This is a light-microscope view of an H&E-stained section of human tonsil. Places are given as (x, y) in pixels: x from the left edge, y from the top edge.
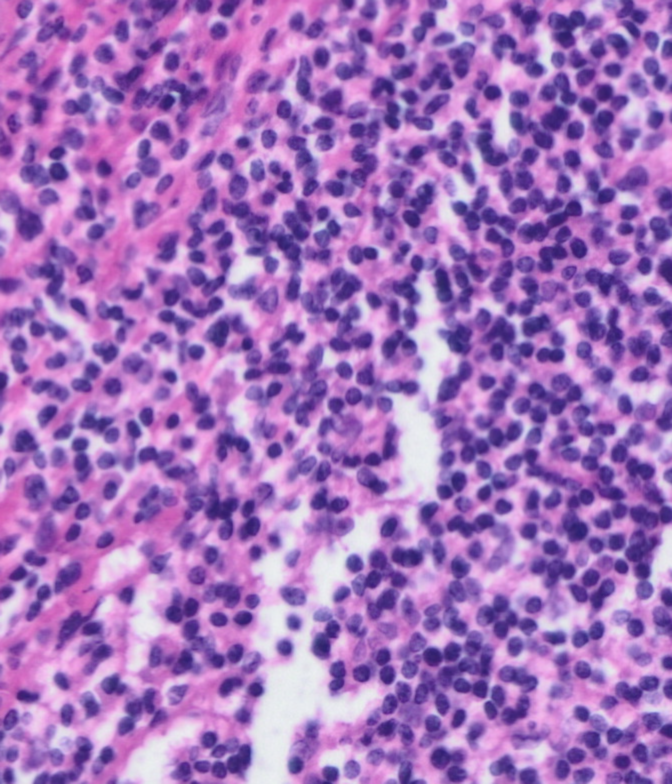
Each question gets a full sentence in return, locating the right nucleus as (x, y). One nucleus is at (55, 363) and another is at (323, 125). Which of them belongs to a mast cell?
At (55, 363) lies the nucleus that belongs to a mast cell.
